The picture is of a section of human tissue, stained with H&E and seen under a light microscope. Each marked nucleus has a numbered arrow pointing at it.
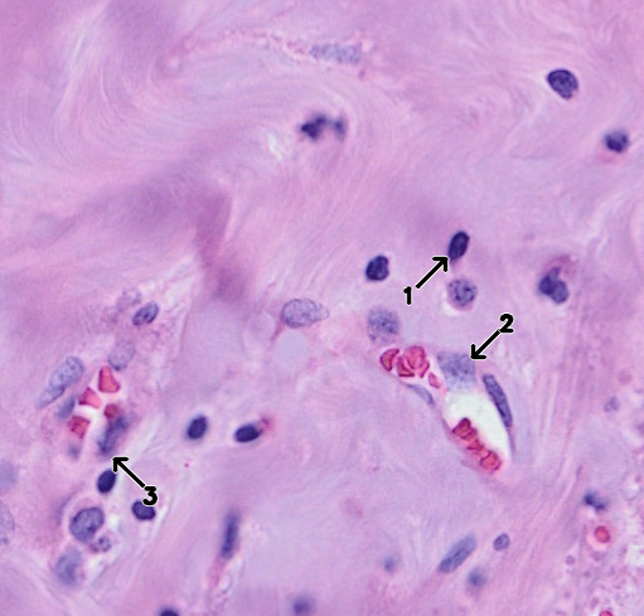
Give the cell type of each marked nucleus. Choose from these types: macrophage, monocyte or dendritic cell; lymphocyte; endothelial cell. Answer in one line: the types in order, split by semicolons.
lymphocyte; endothelial cell; endothelial cell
